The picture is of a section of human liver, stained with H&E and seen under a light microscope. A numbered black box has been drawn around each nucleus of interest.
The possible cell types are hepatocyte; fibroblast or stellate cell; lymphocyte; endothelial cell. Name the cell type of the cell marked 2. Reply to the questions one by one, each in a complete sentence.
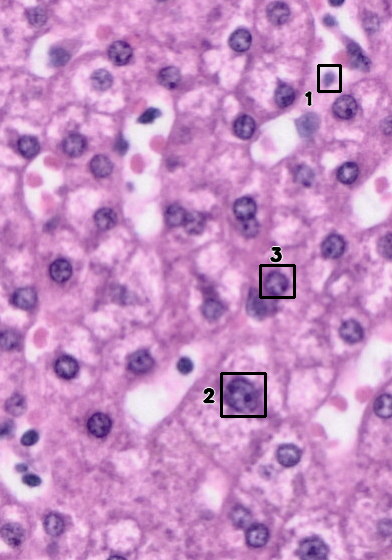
The correct label for cell 2 is a hepatocyte.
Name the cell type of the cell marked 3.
Here the cell numbered 3 is a hepatocyte.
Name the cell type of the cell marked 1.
The marked cell bearing number 1 is a lymphocyte.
